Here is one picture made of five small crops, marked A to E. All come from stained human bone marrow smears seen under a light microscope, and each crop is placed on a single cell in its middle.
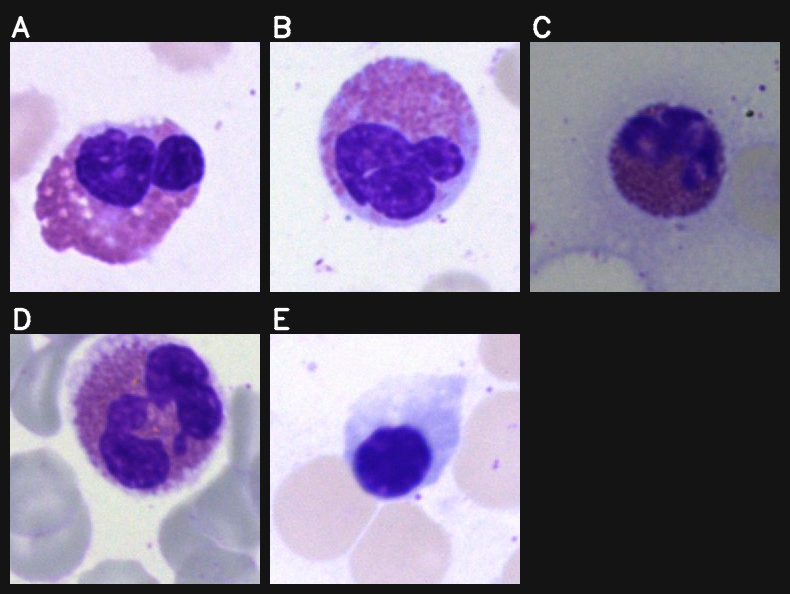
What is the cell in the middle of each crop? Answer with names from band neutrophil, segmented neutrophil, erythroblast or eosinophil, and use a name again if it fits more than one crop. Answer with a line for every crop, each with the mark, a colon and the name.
A: eosinophil
B: eosinophil
C: eosinophil
D: eosinophil
E: erythroblast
